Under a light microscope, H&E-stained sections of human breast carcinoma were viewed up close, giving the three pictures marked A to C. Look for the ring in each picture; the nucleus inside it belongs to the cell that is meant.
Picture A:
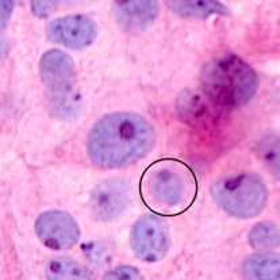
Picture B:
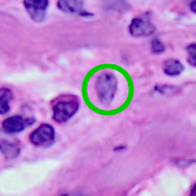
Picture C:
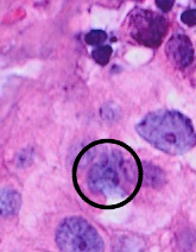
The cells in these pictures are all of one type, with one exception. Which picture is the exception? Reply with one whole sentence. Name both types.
Unlike the rest, which show carcinoma cells, picture B shows a mast cell.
